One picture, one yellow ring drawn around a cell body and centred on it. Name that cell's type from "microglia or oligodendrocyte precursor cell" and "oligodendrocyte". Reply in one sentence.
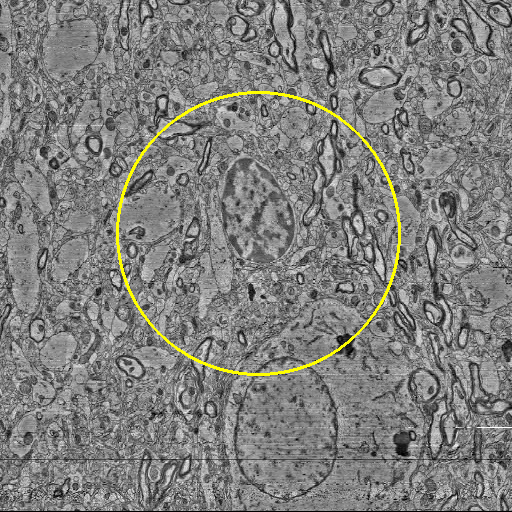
Centred in the ring is a microglial cell or oligodendrocyte precursor cell.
